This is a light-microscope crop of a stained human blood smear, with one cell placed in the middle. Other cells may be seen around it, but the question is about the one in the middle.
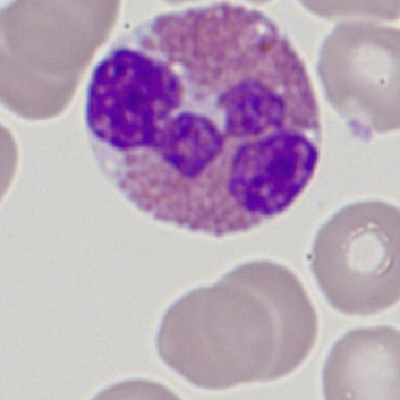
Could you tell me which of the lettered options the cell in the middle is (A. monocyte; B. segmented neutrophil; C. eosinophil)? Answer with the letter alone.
C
